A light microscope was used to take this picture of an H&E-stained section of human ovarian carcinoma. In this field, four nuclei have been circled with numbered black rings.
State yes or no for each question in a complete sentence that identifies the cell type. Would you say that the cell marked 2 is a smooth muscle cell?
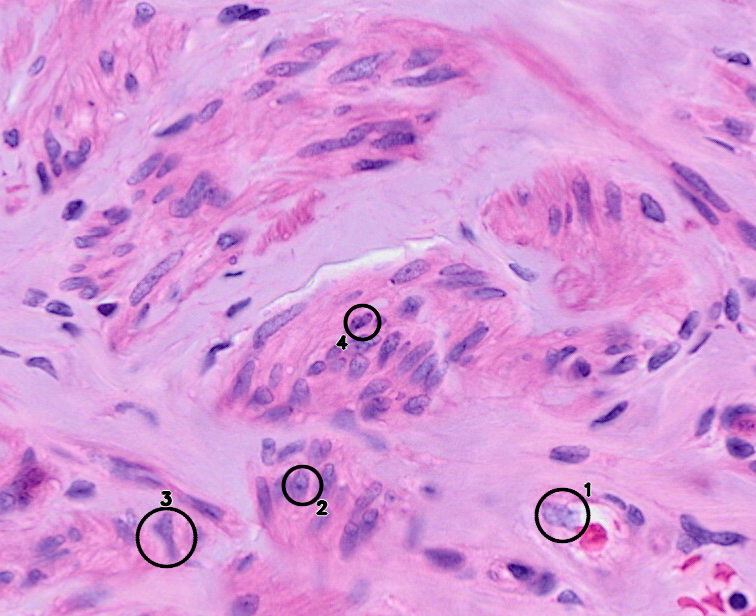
Yes, that is so; number 2 marks a smooth muscle cell.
